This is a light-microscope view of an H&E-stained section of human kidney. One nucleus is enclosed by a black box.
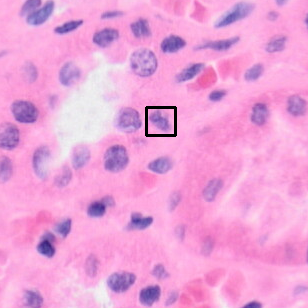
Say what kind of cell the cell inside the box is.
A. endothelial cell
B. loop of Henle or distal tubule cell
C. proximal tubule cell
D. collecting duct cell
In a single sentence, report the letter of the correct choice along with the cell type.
Right answer, option B: the cell inside the box is a loop of Henle or distal tubule cell.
